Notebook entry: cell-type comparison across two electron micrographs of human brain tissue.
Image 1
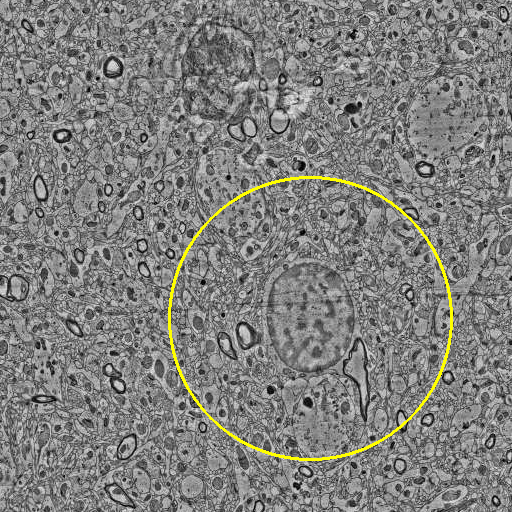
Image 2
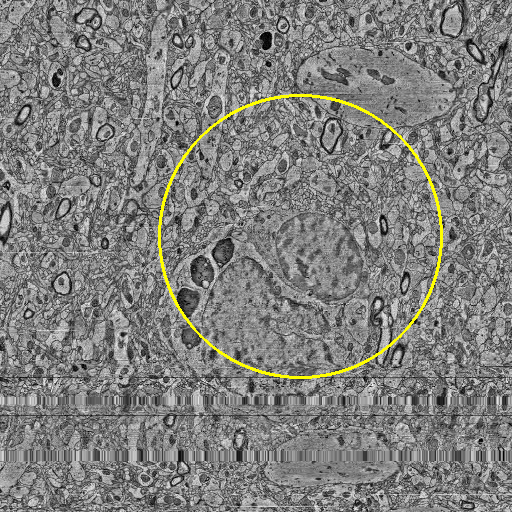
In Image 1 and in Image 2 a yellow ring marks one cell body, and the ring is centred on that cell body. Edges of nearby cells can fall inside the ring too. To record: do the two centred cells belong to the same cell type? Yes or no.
yes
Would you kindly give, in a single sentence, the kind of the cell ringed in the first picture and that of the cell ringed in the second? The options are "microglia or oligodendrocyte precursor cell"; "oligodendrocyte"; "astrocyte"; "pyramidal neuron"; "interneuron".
Both rings mark an oligodendrocyte, one in each picture.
